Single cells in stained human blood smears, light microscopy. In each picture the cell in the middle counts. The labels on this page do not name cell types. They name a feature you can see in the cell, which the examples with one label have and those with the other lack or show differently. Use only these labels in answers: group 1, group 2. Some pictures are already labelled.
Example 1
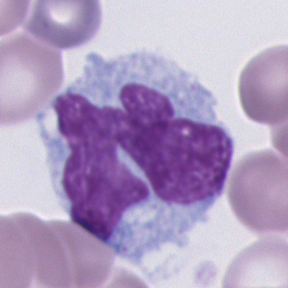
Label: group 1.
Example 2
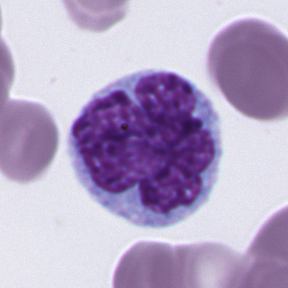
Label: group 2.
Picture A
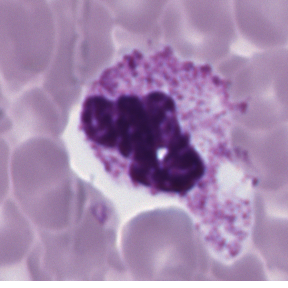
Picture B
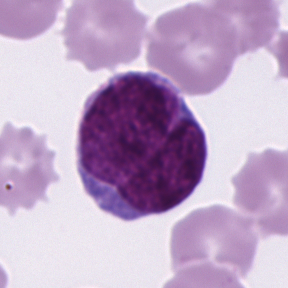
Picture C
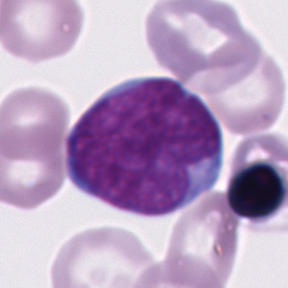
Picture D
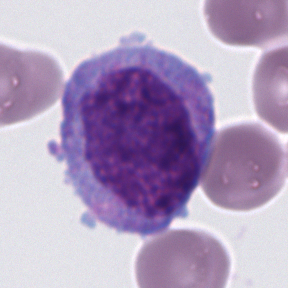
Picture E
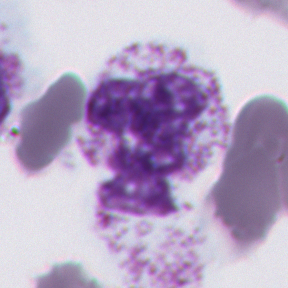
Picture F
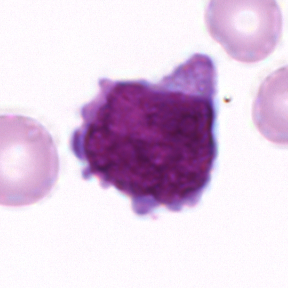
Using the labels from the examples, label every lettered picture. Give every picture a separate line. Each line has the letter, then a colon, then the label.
A: group 1.
B: group 2.
C: group 2.
D: group 1.
E: group 1.
F: group 1.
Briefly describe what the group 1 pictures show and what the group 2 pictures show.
Seen in group 1: ragged outline or projections; seen in group 2: smooth outline.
